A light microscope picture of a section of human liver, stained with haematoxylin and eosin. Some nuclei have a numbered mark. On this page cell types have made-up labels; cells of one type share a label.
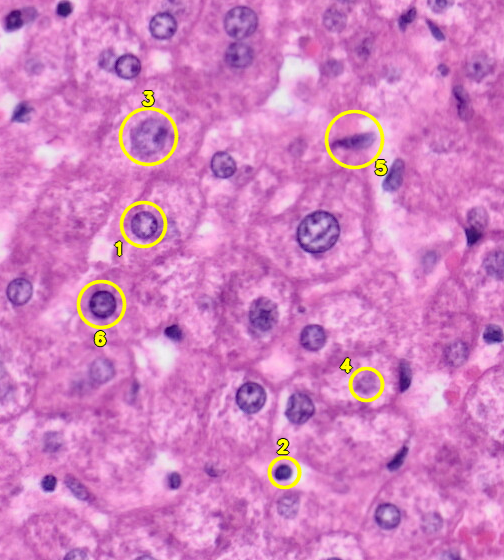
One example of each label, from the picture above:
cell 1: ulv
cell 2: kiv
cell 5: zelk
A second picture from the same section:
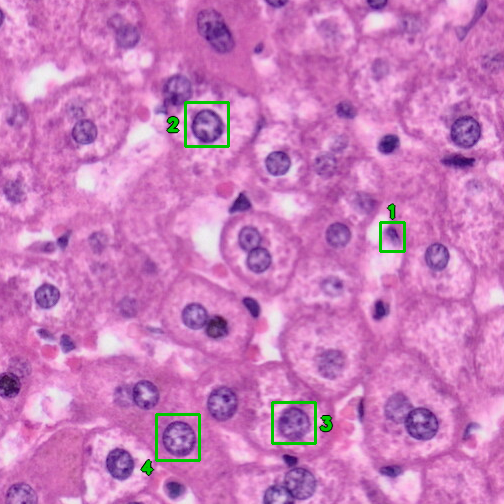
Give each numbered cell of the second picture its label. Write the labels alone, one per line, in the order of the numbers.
zelk
ulv
ulv
ulv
